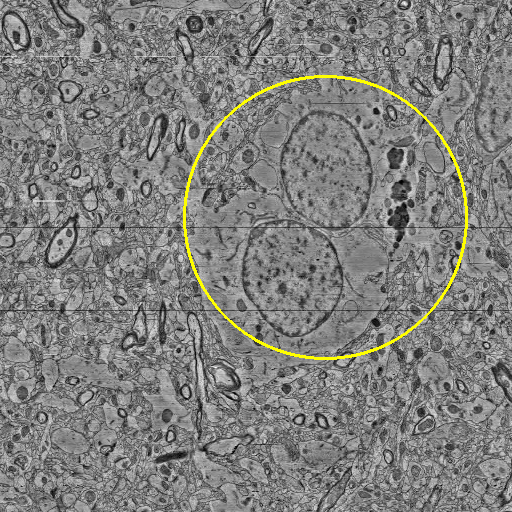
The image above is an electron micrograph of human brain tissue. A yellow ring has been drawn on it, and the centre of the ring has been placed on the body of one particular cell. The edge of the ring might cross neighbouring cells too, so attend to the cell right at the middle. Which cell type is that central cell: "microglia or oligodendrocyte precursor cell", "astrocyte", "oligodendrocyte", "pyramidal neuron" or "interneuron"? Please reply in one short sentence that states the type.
The central cell in the ring is an astrocyte.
